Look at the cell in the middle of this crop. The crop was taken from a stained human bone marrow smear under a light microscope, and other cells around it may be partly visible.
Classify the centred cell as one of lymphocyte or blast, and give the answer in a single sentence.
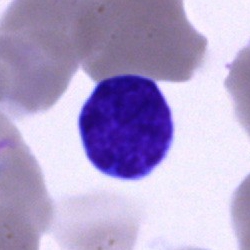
In the centre of this crop there is a lymphocyte.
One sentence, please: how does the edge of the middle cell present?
You can see a smooth boundary, with no projections sticking out.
